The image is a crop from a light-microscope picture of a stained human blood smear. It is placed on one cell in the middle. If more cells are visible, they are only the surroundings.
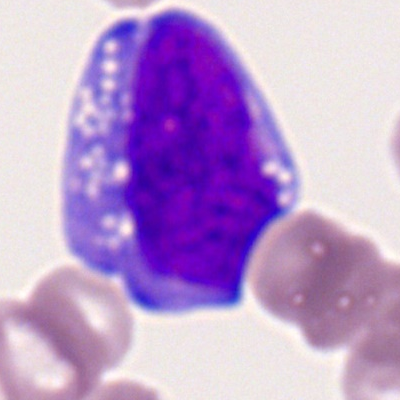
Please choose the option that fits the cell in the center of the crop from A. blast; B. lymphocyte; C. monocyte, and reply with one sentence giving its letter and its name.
Since the cell in the centre is a blast, the correct option is A.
